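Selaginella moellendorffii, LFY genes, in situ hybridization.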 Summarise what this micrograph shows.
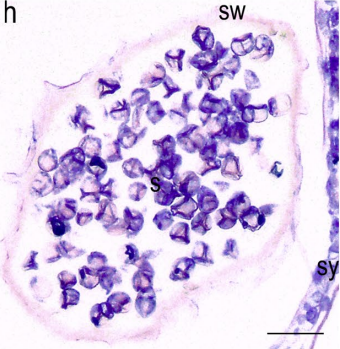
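This is a mature sporangium packed with fully developed spores. The spores are angular to rounded, with thick purple-stained walls and ridged, faceted outlines, and lie loosely crowded throughout the chamber. The wall around them is reduced to a thin pale pinkish line in which no separate cell layers or tapetum can be made out. At the right edge a strip of sporophyll tissue with small purple cells is seen.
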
